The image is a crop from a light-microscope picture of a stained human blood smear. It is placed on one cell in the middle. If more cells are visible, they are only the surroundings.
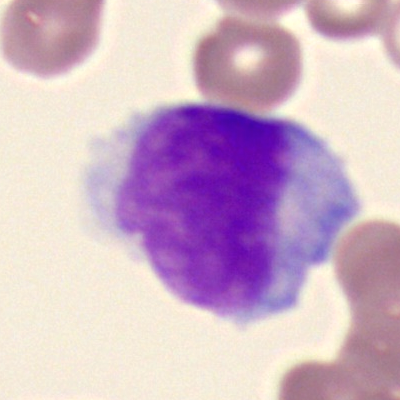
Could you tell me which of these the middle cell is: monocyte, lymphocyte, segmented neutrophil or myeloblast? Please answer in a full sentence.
On this slide crop, the central cell is a monocyte.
